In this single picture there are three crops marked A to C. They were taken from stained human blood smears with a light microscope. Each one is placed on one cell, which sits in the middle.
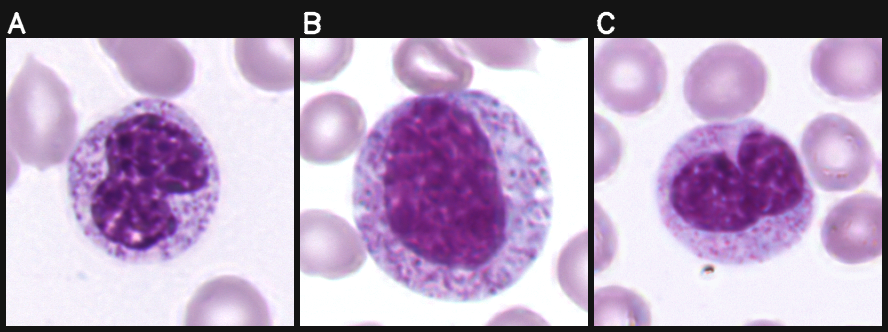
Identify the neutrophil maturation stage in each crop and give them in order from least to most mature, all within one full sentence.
Least mature to most mature, the lineup is crop B (a myelocyte), crop A (a metamyelocyte) and crop C (a band neutrophil).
